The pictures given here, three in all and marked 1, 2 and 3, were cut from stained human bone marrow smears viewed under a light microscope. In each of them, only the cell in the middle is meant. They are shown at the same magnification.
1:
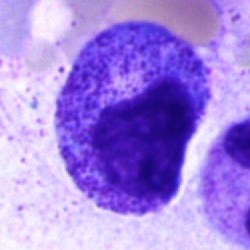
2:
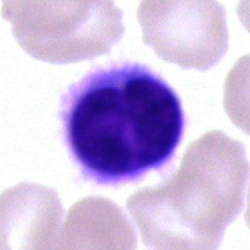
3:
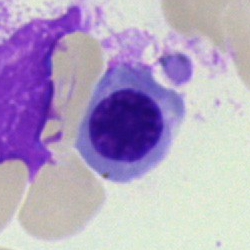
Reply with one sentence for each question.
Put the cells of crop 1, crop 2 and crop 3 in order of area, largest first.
The order is 1, 2, 3, beginning with the largest.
